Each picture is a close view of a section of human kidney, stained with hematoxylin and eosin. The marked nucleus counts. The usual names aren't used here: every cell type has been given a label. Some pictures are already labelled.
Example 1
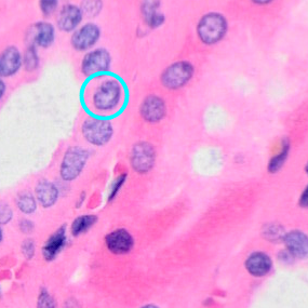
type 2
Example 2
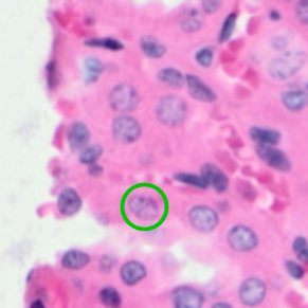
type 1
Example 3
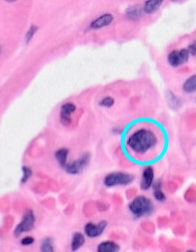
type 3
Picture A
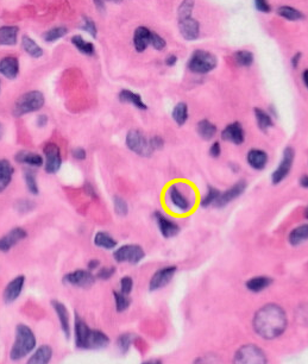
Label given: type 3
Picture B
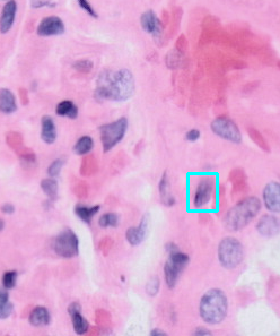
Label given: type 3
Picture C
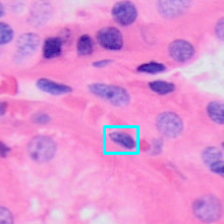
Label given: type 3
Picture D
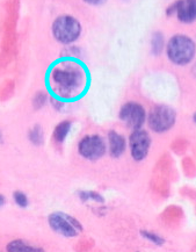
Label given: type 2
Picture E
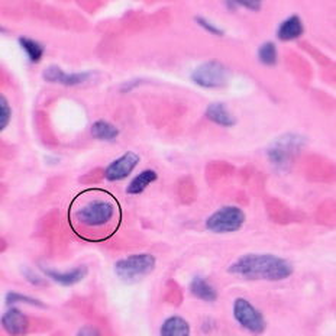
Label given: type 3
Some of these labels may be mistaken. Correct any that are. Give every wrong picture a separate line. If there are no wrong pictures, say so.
No label is wrong.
